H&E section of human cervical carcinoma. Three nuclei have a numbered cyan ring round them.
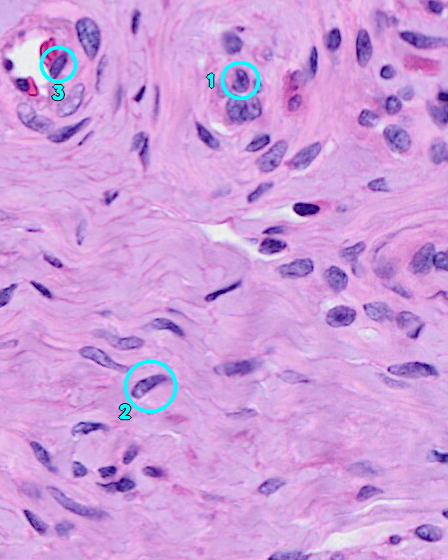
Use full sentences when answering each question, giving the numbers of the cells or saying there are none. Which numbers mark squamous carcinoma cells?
The numbered cells, taken together, include no squamous carcinoma cells.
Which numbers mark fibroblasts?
Just one of the numbered cells is a fibroblast, namely number 2.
